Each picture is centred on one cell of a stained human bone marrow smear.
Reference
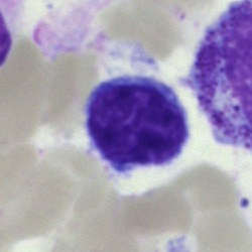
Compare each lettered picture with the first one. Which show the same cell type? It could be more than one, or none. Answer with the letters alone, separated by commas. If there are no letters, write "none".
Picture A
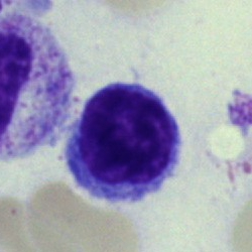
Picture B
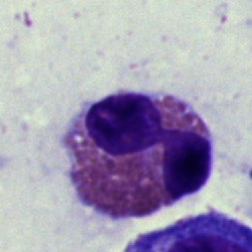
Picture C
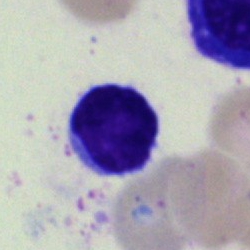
A, C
